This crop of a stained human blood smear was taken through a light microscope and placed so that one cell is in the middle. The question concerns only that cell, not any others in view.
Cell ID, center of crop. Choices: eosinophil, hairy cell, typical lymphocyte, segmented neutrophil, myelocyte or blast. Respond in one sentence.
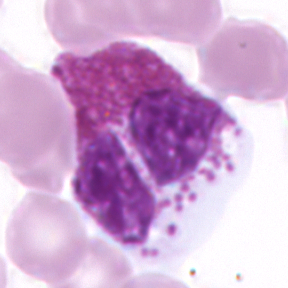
The middle cell in this particular crop is an eosinophil.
